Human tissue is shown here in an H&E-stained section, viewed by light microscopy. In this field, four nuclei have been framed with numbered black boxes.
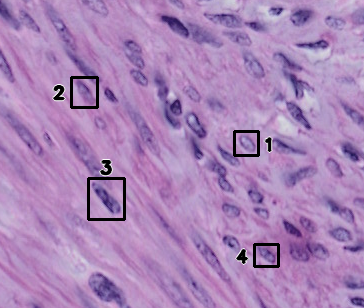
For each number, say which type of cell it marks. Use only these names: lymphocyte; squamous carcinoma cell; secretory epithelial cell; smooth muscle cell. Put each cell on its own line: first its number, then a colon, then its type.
1: smooth muscle cell
2: smooth muscle cell
3: lymphocyte
4: smooth muscle cell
